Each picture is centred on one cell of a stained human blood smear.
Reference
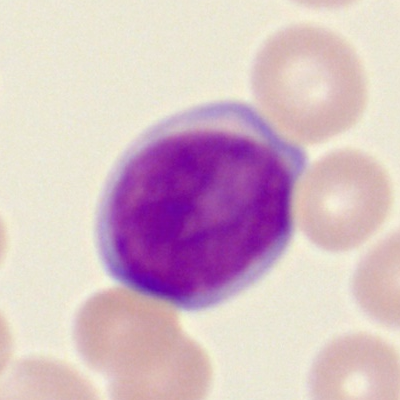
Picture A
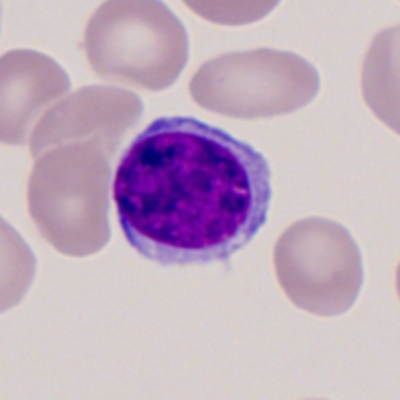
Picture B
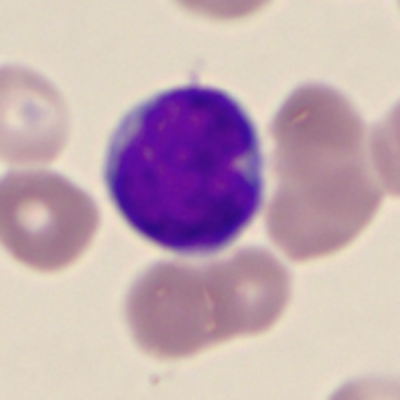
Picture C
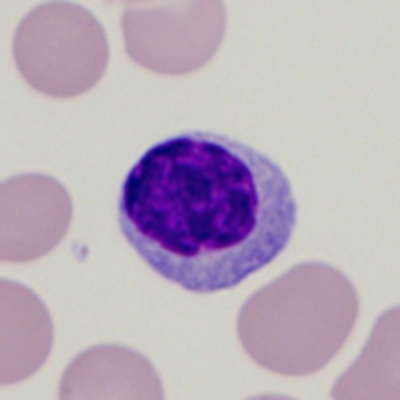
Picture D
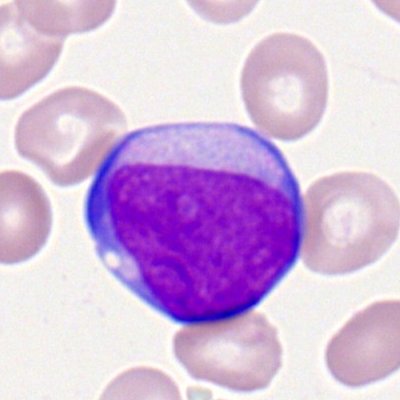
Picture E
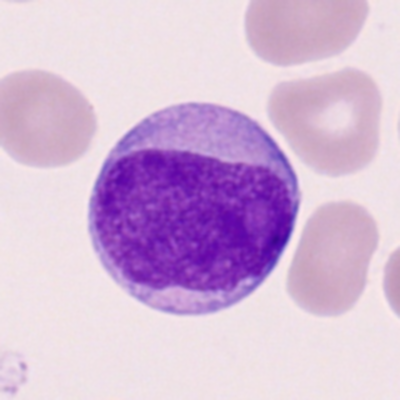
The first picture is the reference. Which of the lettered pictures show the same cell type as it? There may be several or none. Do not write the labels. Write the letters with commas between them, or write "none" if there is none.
B, D, E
